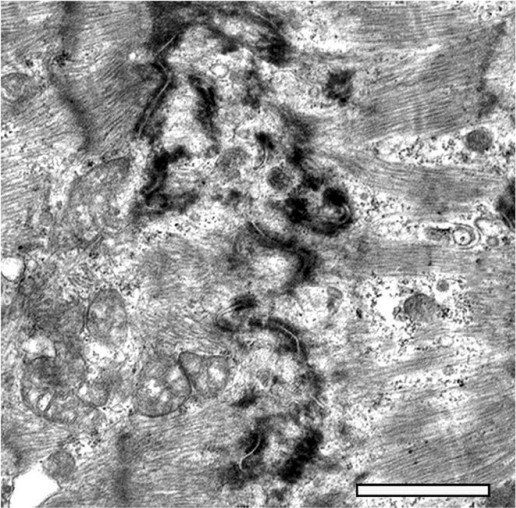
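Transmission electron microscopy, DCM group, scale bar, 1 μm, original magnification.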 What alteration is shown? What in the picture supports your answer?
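Dark junctional material lies in scattered, irregular clumps rather than one continuous folded band. No regular finger-like folding can be followed. Myofibrils run in several different directions around the dense material. The answer: deteriorated and disorganized.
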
